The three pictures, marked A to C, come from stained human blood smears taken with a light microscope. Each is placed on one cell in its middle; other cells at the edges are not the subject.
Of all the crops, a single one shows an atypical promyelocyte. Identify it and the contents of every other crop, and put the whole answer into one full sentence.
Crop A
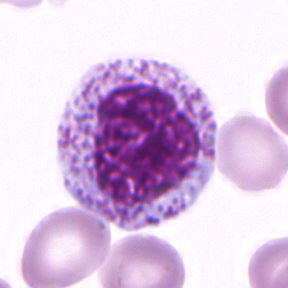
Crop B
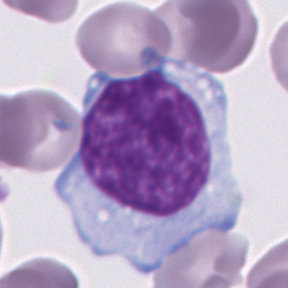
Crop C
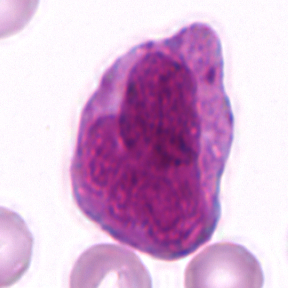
Among these crops, crop C shows an atypical promyelocyte, while crop A is a myelocyte and crop B is a myeloblast.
